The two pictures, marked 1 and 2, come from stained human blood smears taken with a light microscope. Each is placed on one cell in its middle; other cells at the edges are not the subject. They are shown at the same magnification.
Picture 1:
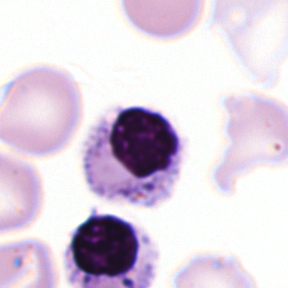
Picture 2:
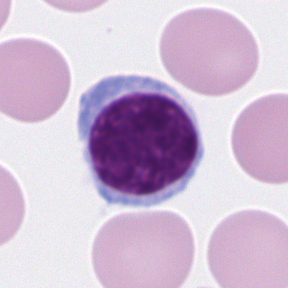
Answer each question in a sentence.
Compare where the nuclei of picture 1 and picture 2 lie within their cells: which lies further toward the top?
It is the nucleus in picture 1 that lies further toward the top of its cell.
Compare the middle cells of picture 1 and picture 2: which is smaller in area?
The cell in picture 1 is smaller; the one in picture 2 has about 1.5 times its area.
